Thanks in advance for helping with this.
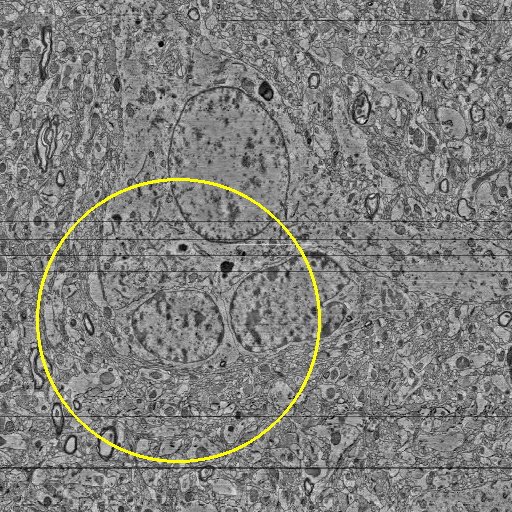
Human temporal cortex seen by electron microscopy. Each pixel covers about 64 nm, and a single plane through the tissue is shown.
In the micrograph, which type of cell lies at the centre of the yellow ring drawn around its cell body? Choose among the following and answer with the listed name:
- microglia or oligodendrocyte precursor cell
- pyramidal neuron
microglia or oligodendrocyte precursor cell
